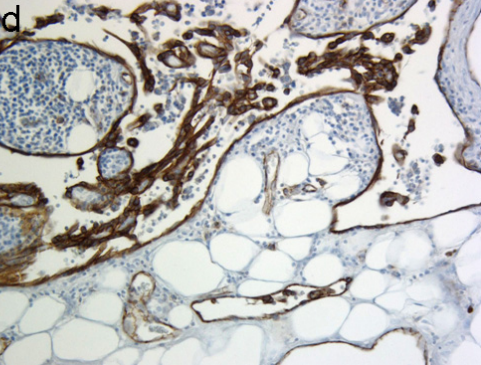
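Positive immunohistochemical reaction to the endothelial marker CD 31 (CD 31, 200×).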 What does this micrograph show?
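Vascular tumour tissue in which the cells lining channels and spaces are outlined by a brown membrane stain. Brown-stained lining forms thin continuous rims around irregular lumina and clusters of elongated cells between them. Rounded nodules packed with small blue-nucleated cells lie within the lumina and remain unstained. Clear round spaces of fat lie at the lower part, with thin brown-lined channels running between them.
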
